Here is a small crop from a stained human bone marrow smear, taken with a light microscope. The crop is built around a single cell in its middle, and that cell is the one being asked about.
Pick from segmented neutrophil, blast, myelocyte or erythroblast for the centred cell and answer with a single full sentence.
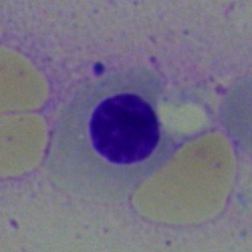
Classification of the middle cell gives an erythroblast.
